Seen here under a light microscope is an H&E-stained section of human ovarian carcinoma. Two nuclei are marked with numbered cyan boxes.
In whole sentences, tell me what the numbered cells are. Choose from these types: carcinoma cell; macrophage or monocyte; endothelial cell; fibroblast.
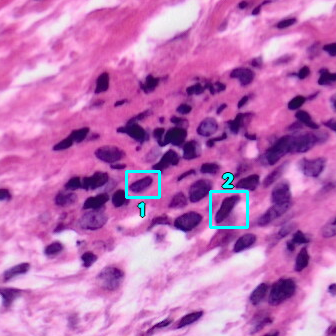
Cell 1 is a macrophage or monocyte and cell 2 is a carcinoma cell.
